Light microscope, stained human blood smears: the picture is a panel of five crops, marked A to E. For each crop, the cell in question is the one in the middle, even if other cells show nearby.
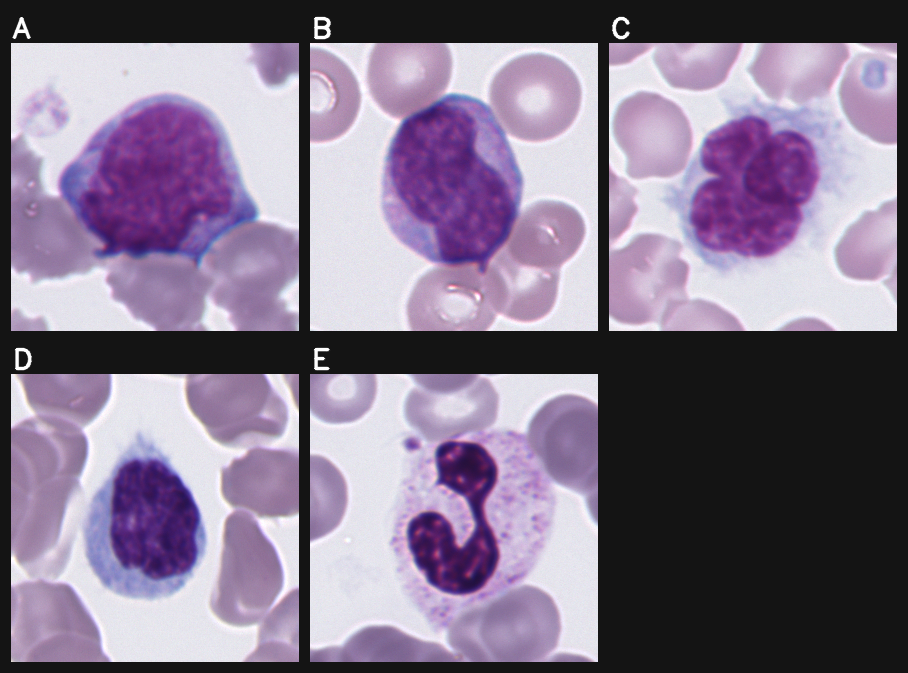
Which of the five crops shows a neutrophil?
E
